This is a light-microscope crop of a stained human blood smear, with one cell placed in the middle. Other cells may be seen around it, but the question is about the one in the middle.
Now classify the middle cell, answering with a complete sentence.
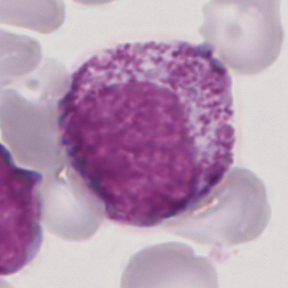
The cell centred in this crop is categorized as a myelocyte.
